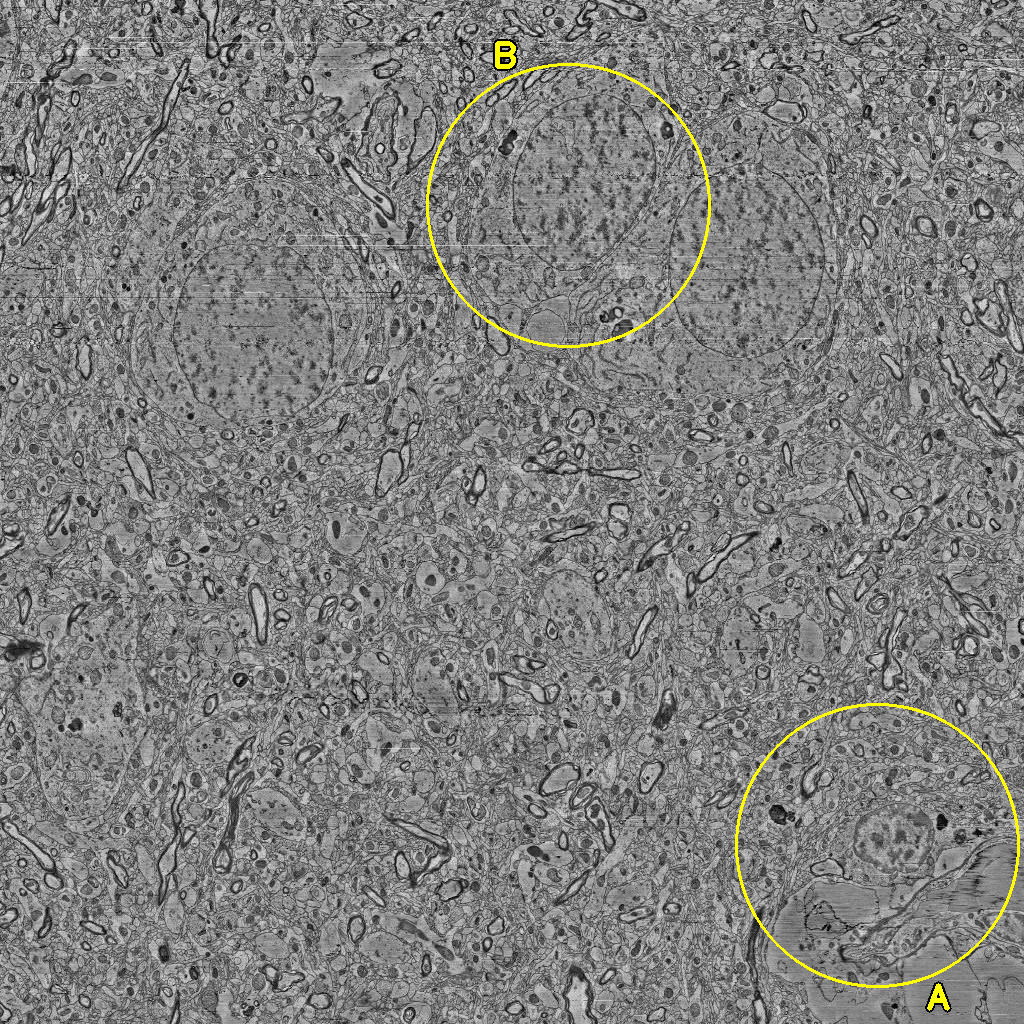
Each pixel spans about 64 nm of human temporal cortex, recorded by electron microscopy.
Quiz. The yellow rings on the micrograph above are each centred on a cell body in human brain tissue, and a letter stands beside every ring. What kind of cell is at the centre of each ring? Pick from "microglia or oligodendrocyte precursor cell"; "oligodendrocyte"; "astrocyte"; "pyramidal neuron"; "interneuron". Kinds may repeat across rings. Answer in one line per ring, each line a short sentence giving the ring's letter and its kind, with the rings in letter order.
The ring labelled A has an oligodendrocyte at its centre.
The ring labelled B has a pyramidal neuron at its centre.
